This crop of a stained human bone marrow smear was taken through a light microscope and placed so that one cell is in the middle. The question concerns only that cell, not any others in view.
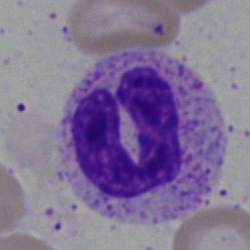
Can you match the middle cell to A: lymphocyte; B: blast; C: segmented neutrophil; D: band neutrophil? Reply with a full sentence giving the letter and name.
Correctly, option C names the cell in the middle a segmented neutrophil.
